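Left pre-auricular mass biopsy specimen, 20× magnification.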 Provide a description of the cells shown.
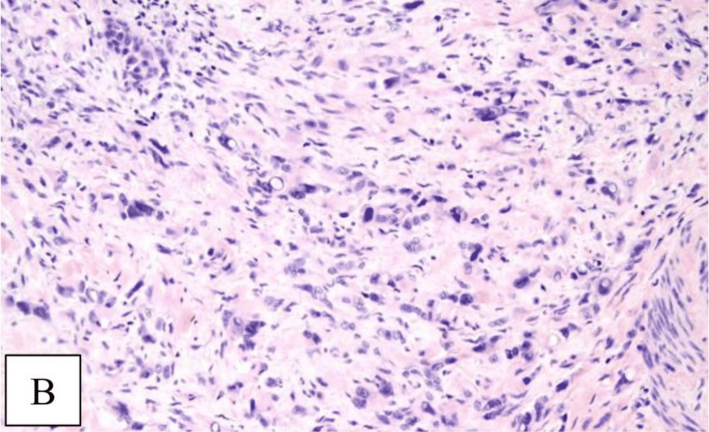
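This is a neoplasm of epithelioid to slightly spindled cells lying singly and in small groups within a pale pink stroma. A few cells contain small clear round vacuoles in their cytoplasm.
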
